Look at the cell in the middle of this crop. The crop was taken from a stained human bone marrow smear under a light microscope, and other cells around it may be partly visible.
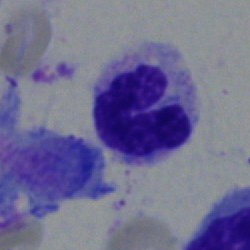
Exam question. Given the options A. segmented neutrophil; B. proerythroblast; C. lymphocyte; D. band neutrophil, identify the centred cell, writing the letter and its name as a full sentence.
Option D is right in identifying the central cell as a band neutrophil.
